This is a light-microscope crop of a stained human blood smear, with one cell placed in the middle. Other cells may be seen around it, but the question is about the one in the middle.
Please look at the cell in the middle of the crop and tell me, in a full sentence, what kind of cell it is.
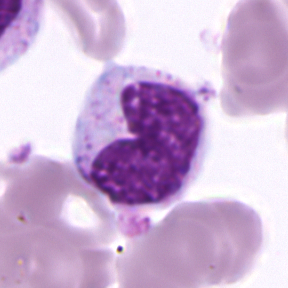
The cell sitting right in the middle is a metamyelocyte.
